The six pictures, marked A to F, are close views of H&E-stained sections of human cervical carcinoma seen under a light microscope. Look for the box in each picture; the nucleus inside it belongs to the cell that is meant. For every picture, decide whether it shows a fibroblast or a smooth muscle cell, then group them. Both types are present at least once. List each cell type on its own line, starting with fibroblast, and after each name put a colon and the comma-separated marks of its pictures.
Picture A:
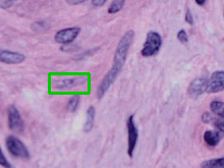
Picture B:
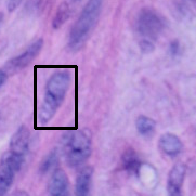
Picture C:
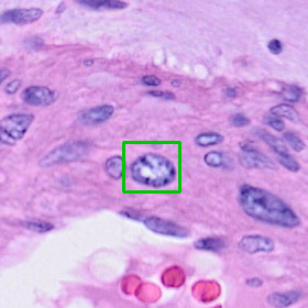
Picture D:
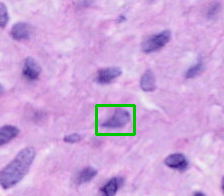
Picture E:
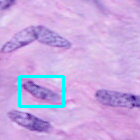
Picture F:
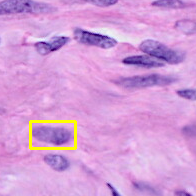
fibroblast: D, F
smooth muscle cell: A, B, C, E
